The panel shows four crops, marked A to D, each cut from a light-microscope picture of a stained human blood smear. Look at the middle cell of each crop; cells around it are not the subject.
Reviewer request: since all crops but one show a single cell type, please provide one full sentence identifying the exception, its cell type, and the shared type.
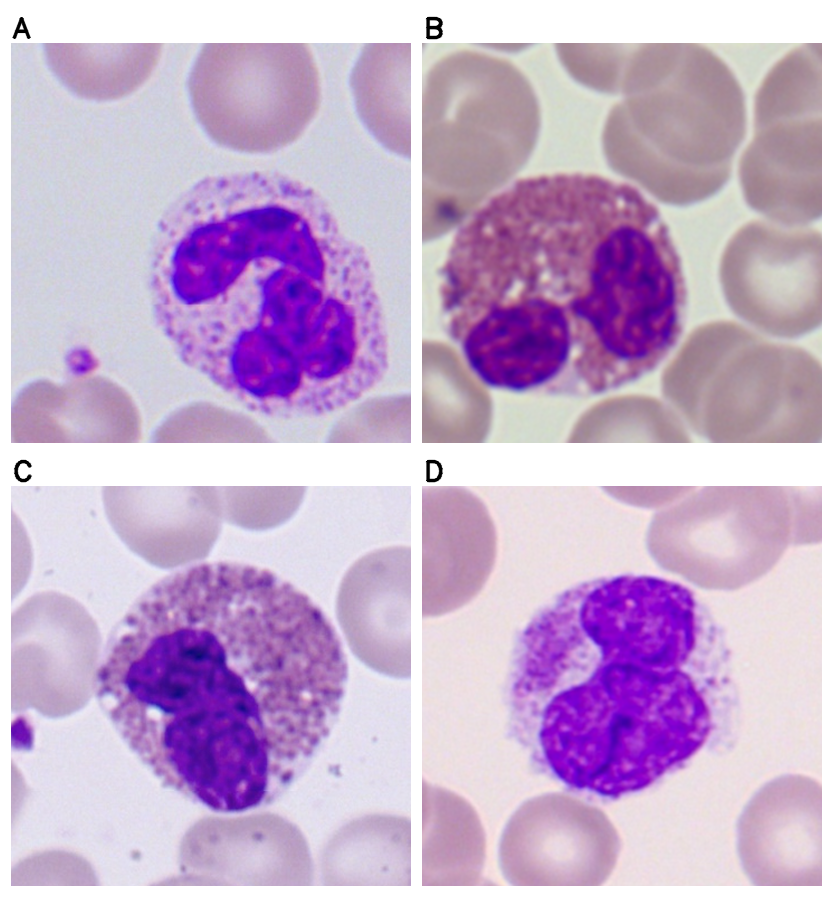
The others are all eosinophils; crop A is a neutrophil.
